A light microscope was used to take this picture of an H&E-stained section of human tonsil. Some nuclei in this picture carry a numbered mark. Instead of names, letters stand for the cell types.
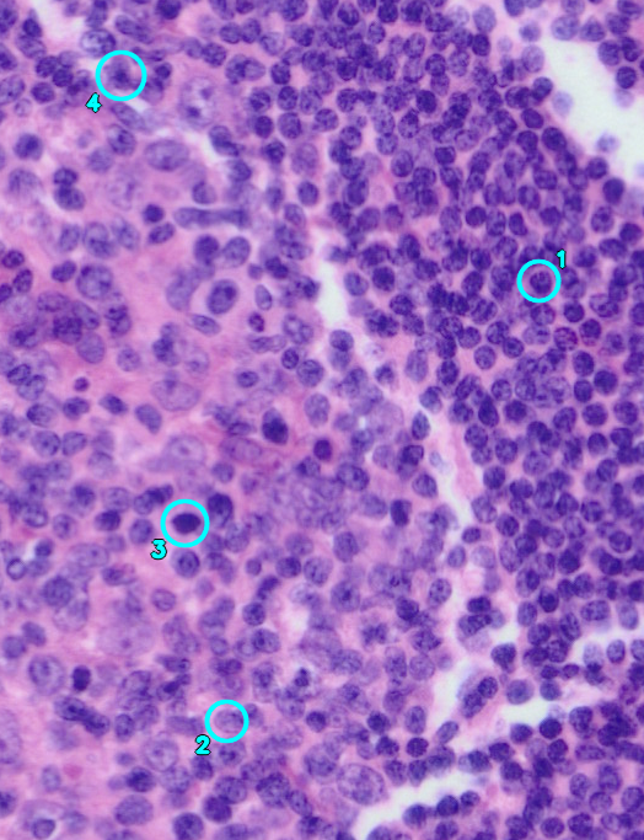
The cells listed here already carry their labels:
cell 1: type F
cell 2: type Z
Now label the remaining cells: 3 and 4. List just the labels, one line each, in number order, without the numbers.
type Z
type Z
